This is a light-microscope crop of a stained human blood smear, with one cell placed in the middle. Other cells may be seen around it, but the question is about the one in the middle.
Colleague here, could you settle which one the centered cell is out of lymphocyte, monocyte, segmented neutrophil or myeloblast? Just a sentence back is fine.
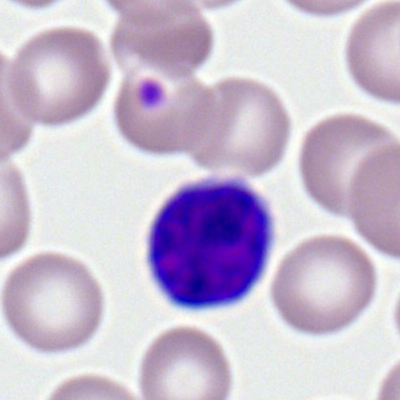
In the central position of this crop, the cell is a lymphocyte.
